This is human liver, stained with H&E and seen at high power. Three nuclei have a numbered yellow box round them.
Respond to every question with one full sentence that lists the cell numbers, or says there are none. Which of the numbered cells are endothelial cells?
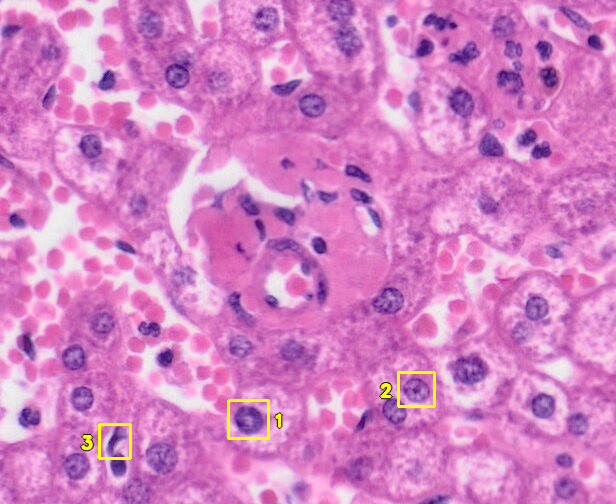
Only cell 3 is an endothelial cell; none of the other numbered cells is.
